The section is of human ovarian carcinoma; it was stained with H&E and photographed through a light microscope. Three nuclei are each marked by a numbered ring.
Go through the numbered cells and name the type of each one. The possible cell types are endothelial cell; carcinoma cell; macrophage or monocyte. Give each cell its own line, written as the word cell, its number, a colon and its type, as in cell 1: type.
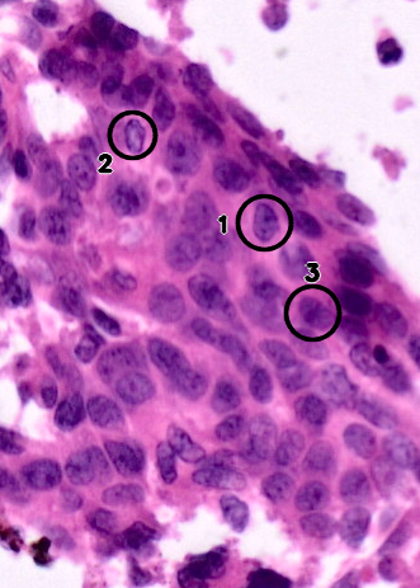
cell 1: macrophage or monocyte
cell 2: macrophage or monocyte
cell 3: carcinoma cell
